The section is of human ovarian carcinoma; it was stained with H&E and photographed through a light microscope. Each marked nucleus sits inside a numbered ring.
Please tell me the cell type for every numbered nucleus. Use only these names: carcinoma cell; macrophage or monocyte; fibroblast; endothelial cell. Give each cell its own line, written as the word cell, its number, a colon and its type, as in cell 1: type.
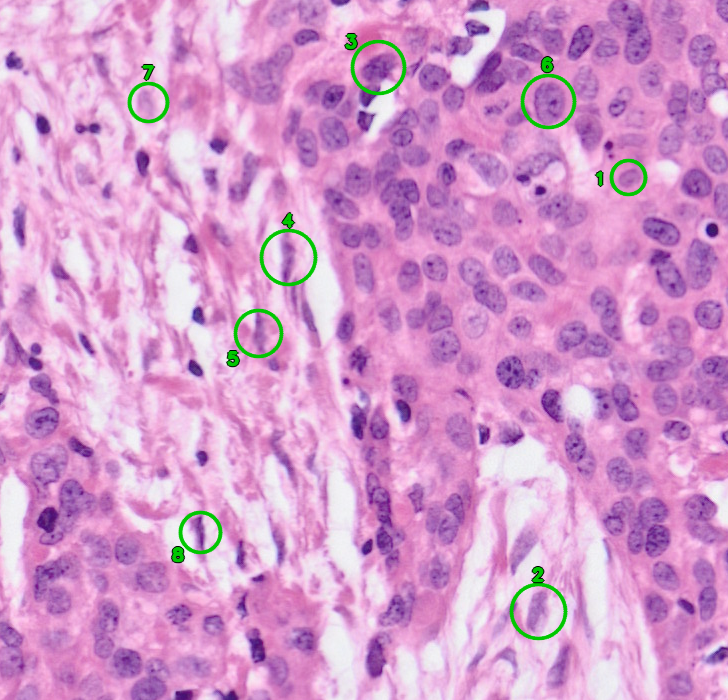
cell 1: carcinoma cell
cell 2: fibroblast
cell 3: carcinoma cell
cell 4: fibroblast
cell 5: fibroblast
cell 6: carcinoma cell
cell 7: fibroblast
cell 8: fibroblast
